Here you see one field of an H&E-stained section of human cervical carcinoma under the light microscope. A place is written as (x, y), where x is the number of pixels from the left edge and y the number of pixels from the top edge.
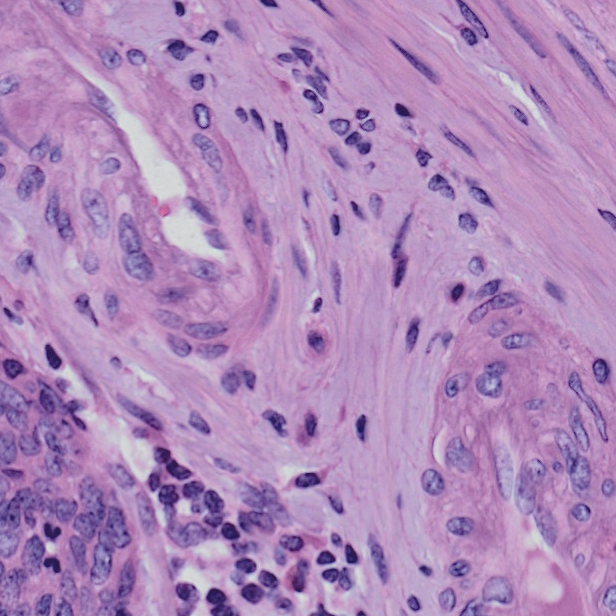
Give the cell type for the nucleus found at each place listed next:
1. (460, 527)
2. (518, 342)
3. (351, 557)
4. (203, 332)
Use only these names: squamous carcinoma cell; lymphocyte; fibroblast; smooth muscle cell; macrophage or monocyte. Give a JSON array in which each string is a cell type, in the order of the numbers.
["smooth muscle cell", "smooth muscle cell", "lymphocyte", "smooth muscle cell"]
